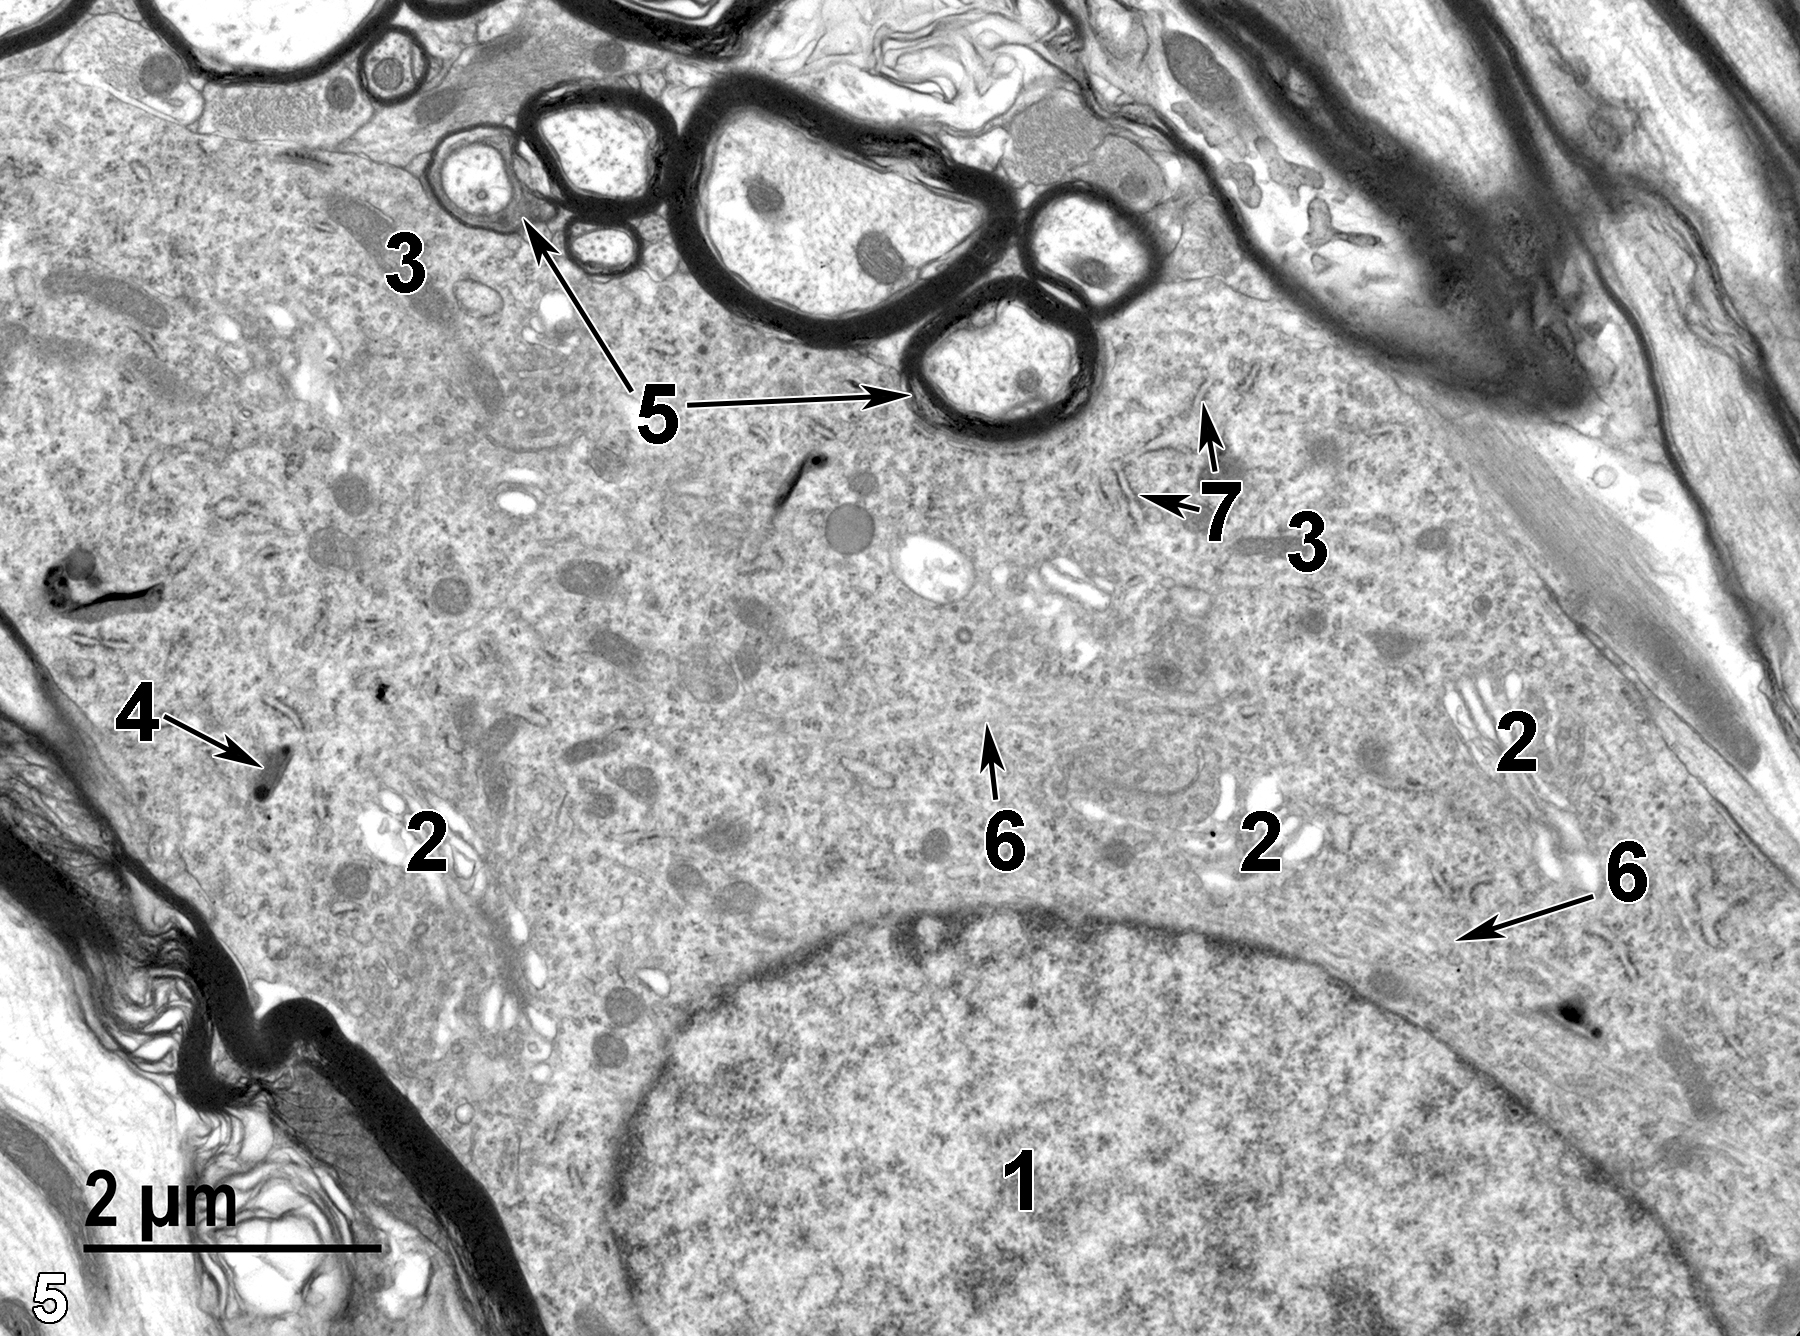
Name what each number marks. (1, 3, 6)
1. nucleus
3. mitochondria
6. bundles of intermediate filaments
